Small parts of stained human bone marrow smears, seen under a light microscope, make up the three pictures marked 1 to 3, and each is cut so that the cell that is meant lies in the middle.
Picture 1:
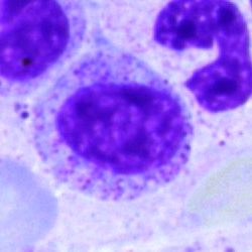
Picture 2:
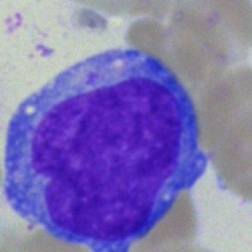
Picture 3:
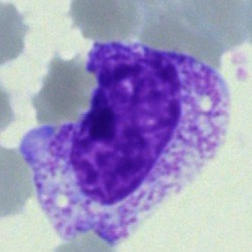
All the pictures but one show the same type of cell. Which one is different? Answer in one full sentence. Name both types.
Unlike the rest, which show myelocytes, picture 2 shows a blast.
